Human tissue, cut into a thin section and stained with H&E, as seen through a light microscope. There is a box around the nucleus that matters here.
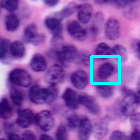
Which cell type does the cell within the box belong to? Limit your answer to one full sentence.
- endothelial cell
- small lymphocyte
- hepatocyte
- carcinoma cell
Among the cells in this section, the cell within the box is a small lymphocyte.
